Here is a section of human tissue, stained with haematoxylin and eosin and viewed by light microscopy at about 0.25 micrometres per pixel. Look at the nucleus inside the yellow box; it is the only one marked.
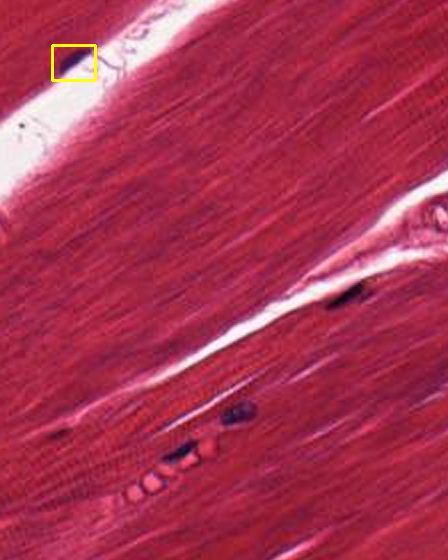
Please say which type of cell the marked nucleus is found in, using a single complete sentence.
The marked nucleus, in this picture, belongs to a skeletal muscle fibre.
